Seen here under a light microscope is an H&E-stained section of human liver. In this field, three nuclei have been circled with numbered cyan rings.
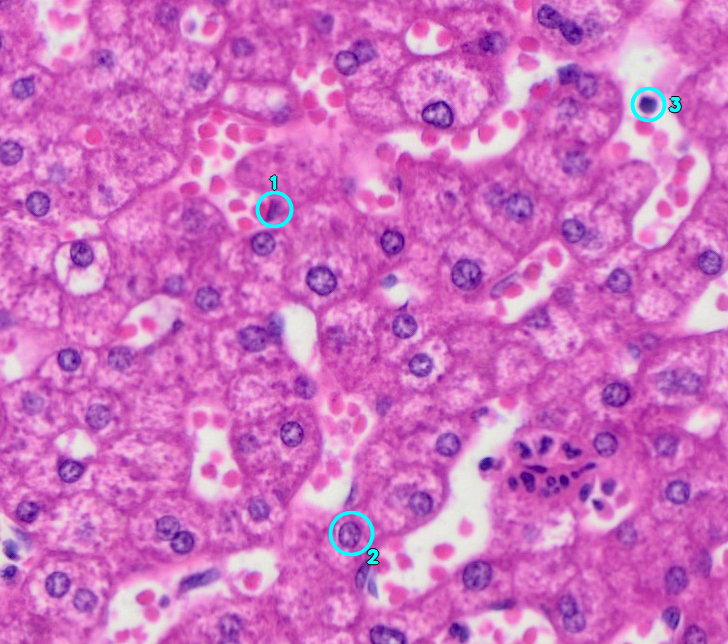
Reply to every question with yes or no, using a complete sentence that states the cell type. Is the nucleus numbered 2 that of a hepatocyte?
Yes, the cell carrying number 2 is a hepatocyte.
